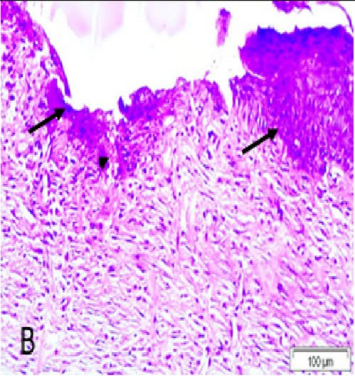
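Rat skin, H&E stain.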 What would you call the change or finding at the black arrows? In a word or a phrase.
necrosis and sloughing of the epidermis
